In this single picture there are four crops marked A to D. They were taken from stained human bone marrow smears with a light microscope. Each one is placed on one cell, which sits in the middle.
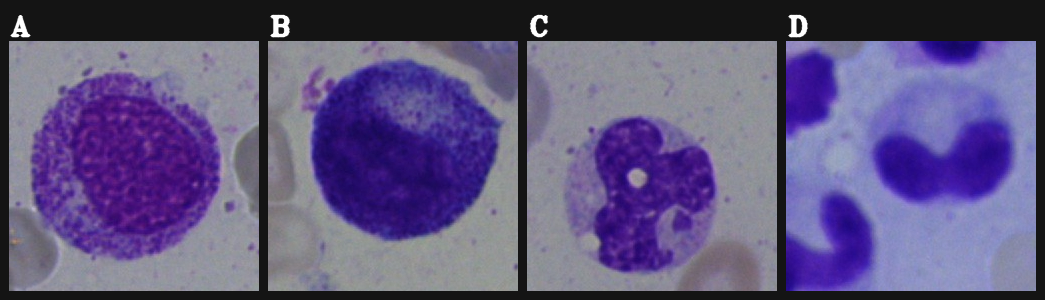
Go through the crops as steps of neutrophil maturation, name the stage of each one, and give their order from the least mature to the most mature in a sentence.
Placed in order of rising maturity, the crops stand as crop B (a promyelocyte), crop A (a myelocyte), crop D (a band neutrophil) and crop C (a segmented neutrophil).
